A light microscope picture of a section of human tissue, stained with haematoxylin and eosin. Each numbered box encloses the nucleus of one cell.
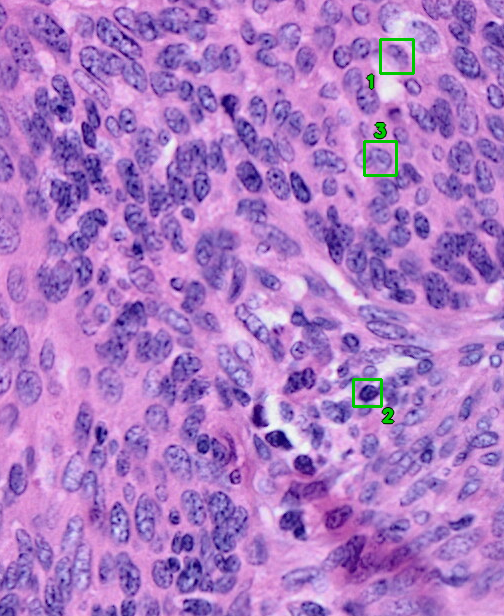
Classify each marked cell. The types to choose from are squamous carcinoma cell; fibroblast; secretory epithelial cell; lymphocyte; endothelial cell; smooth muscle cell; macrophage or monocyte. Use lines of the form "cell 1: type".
cell 1: squamous carcinoma cell
cell 2: lymphocyte
cell 3: squamous carcinoma cell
